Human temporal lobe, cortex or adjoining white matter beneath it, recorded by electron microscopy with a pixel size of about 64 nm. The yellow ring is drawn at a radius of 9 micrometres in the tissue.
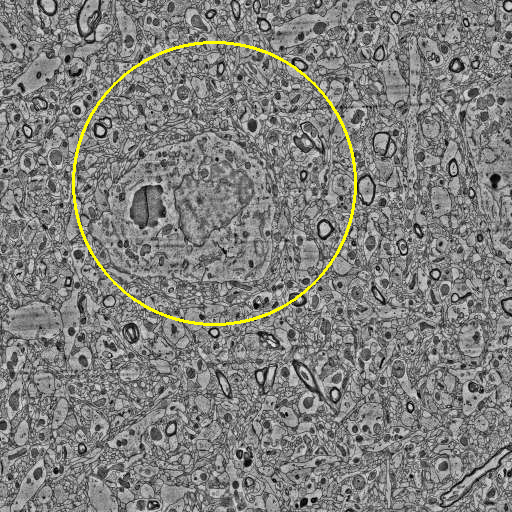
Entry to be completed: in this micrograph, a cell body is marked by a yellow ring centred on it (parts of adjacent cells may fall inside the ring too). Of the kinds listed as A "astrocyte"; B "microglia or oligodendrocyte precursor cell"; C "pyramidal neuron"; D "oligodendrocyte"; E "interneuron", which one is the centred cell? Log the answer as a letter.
E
